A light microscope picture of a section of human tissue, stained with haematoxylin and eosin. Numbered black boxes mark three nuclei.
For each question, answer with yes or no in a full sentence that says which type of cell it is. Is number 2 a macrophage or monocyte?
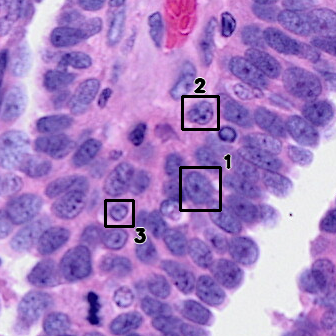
Yes, the cell referred to as number 2 is a macrophage or monocyte.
